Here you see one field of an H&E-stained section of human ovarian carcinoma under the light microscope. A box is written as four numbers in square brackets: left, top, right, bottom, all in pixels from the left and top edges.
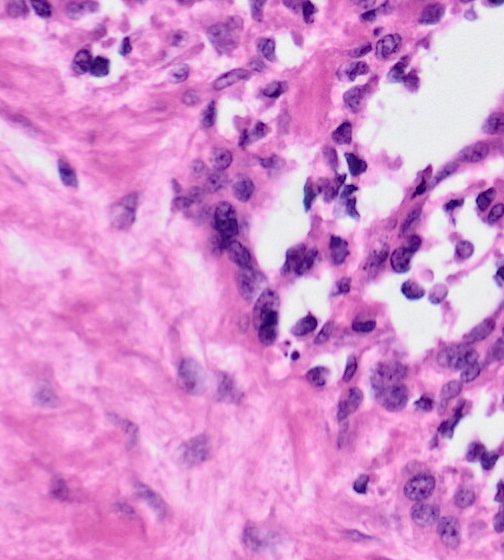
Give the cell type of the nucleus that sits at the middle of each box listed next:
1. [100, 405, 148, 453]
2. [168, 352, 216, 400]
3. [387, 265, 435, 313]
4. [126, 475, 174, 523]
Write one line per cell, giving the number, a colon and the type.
1: fibroblast
2: fibroblast
3: carcinoma cell
4: fibroblast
